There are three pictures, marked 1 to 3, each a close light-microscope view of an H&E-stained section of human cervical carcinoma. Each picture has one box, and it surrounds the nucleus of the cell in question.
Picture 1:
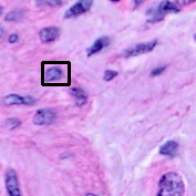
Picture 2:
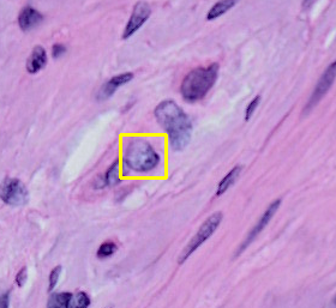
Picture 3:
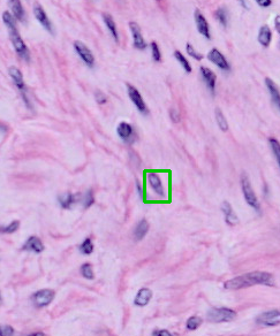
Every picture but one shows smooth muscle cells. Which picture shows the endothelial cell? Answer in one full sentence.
Picture 2 shows the endothelial cell.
